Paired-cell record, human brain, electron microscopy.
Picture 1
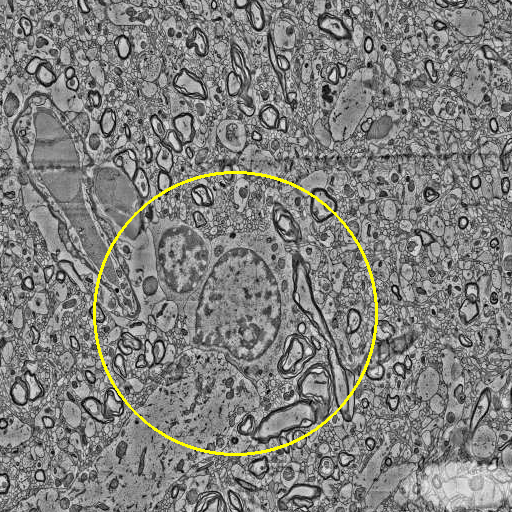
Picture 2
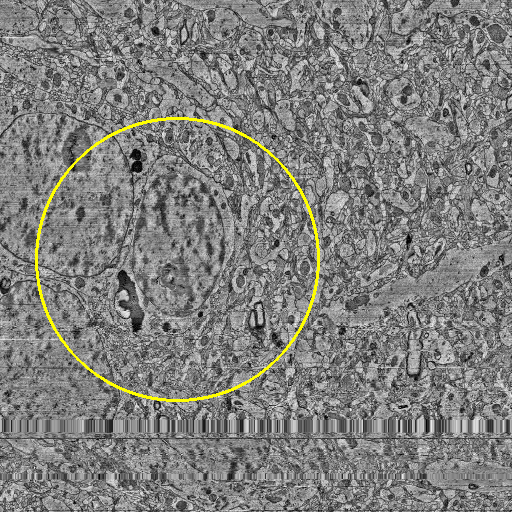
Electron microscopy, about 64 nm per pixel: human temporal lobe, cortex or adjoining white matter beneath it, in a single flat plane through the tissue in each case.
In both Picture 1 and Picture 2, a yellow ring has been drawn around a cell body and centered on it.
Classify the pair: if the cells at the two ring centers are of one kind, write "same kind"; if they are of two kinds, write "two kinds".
two kinds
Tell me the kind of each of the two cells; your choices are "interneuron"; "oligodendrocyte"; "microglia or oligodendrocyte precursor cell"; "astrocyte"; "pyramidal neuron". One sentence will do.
The ringed cell is an oligodendrocyte in the first picture and an interneuron in the second picture.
